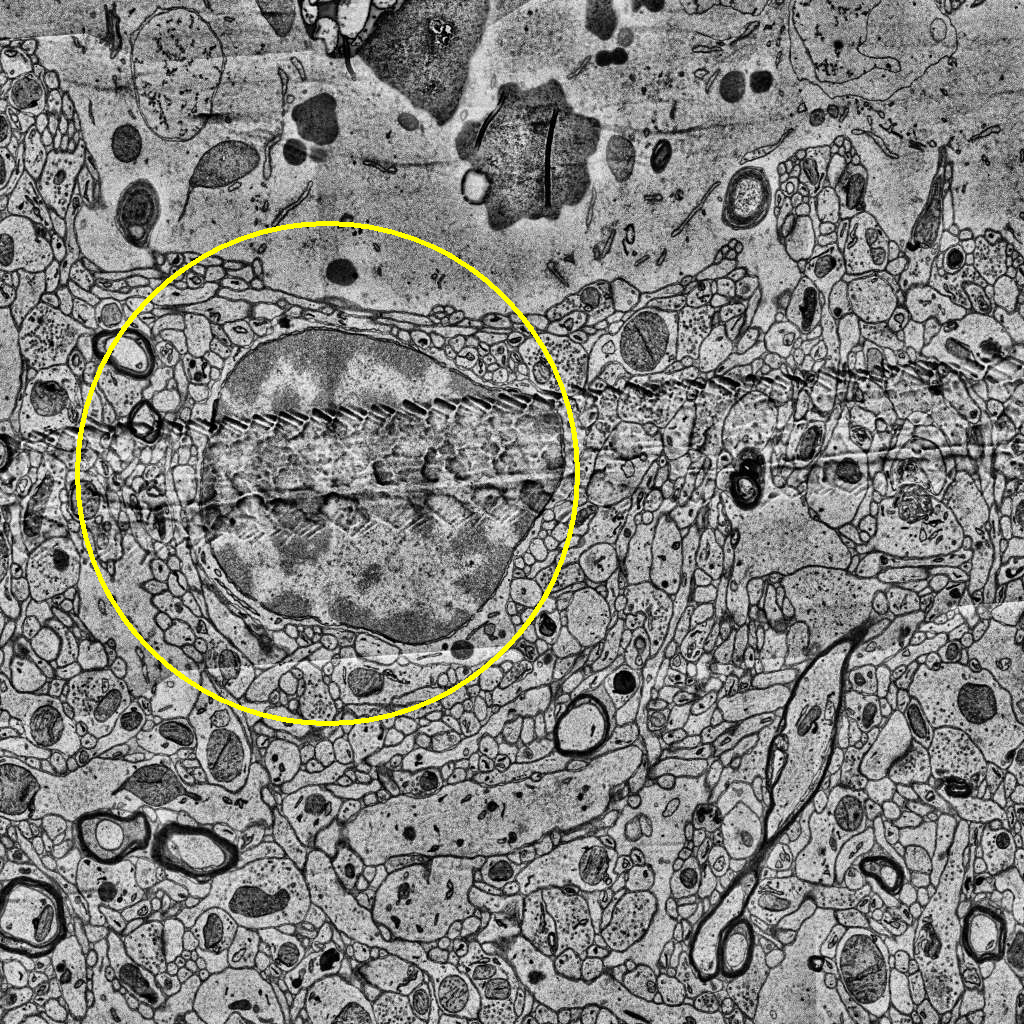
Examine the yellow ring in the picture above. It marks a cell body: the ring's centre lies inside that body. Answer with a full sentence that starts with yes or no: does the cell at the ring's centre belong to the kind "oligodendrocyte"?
No, the cell whose body contains the ring's centre in the image is a different kind of cell.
